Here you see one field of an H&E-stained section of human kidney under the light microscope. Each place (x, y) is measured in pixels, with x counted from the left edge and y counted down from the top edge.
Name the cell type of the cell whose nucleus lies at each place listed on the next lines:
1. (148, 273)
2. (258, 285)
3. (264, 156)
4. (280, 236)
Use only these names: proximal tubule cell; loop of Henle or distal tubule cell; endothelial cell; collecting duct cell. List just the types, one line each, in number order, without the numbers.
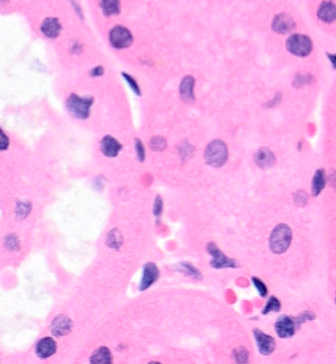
endothelial cell
endothelial cell
proximal tubule cell
proximal tubule cell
